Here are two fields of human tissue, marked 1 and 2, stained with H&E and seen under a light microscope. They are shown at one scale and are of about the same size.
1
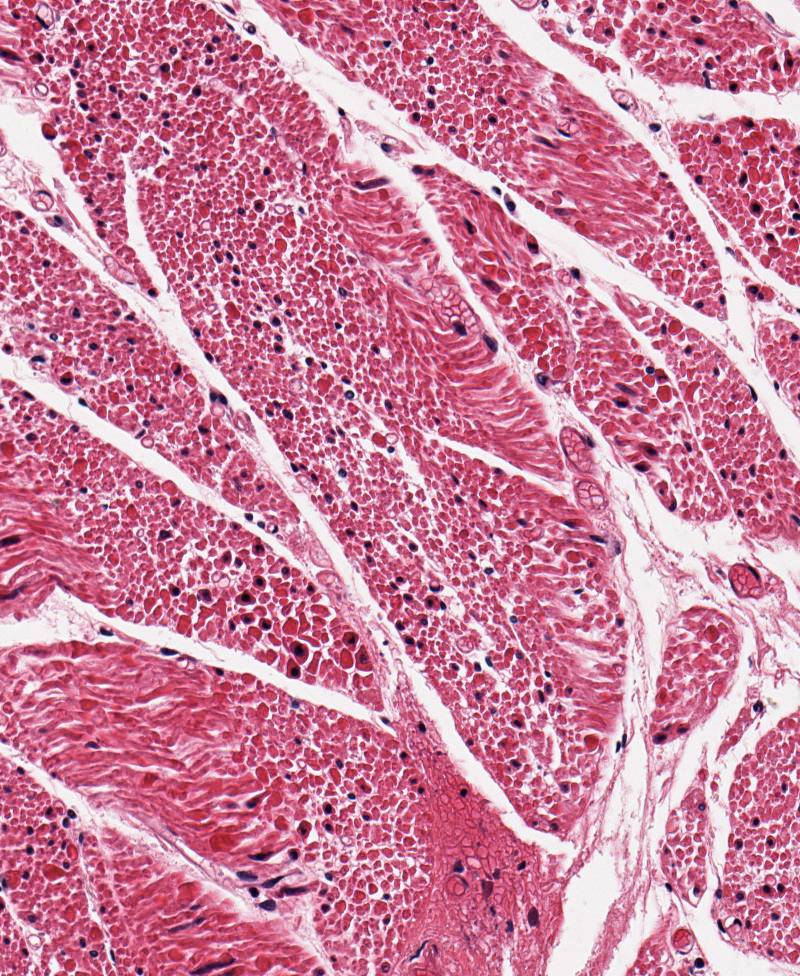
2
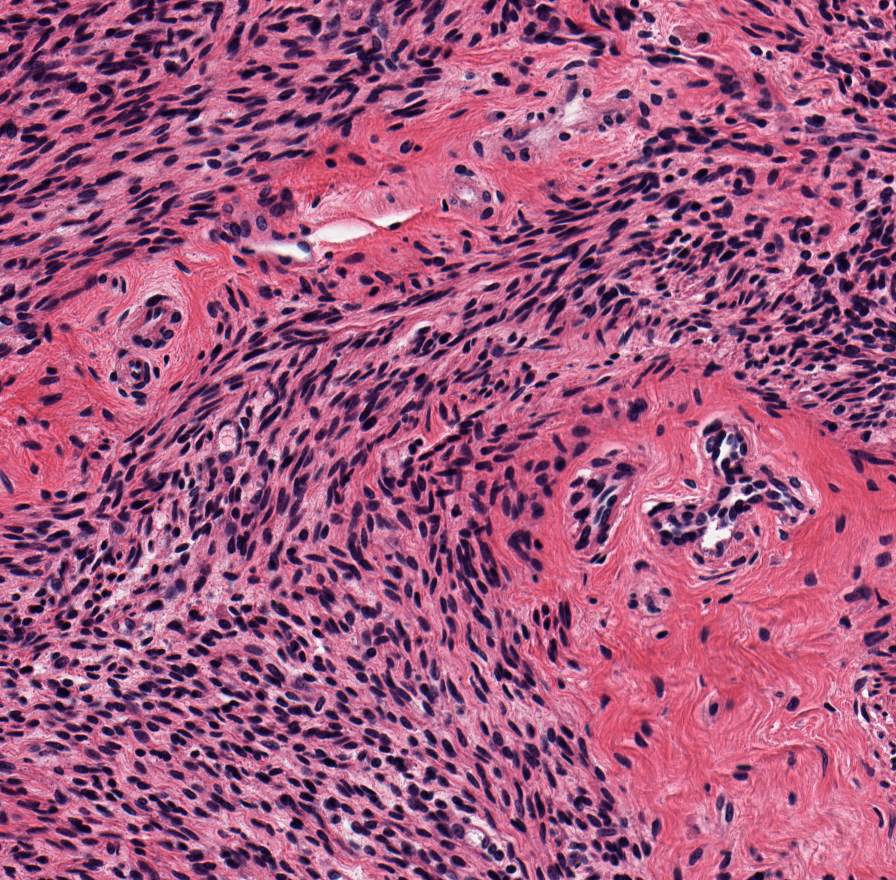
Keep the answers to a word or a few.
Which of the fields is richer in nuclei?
2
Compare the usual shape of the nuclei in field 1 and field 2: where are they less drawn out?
1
